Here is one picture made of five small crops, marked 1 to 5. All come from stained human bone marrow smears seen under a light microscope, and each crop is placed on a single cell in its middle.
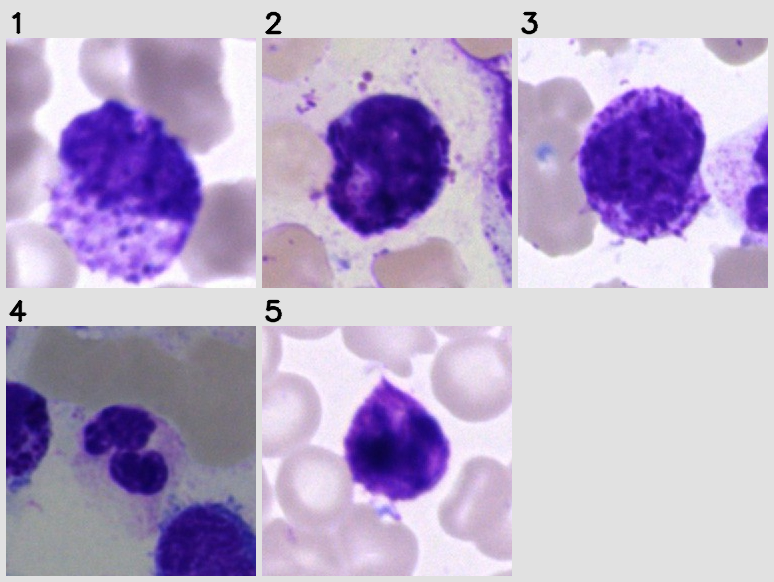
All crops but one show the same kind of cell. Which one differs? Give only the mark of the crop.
4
